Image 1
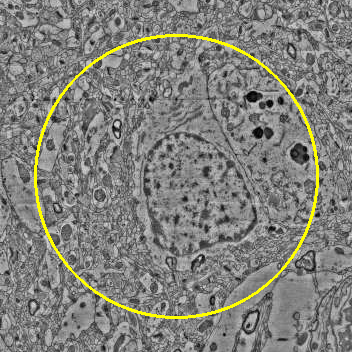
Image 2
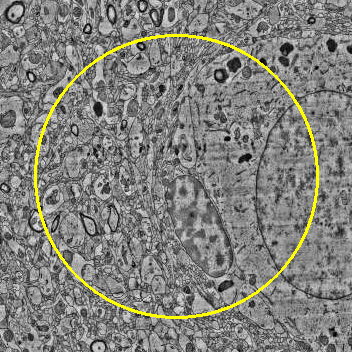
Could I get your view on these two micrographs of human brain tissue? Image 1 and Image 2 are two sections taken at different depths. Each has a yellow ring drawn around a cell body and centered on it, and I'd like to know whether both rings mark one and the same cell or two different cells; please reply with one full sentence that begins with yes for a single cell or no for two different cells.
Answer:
No, the two rings indicate two different cells, not one.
